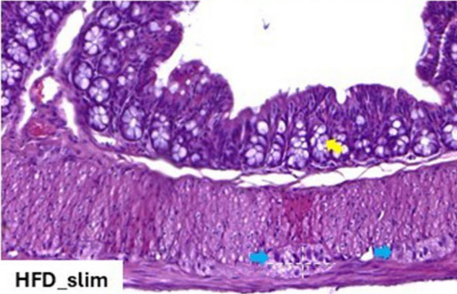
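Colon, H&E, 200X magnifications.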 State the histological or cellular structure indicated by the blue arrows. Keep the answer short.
Auerbach plexus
